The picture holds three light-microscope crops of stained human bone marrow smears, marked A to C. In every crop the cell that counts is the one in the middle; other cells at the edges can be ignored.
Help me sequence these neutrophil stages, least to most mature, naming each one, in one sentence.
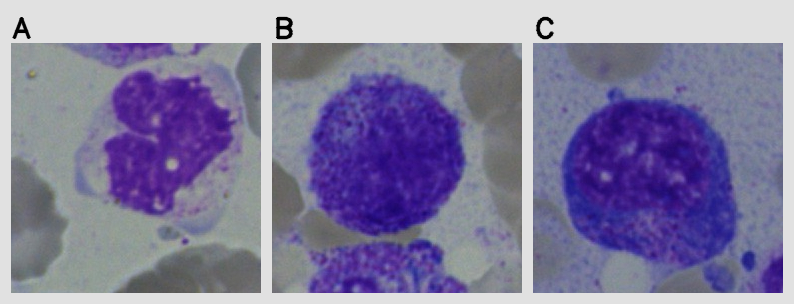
The least to most mature sequence reads crop C (a promyelocyte), crop B (a myelocyte) and crop A (a segmented neutrophil).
